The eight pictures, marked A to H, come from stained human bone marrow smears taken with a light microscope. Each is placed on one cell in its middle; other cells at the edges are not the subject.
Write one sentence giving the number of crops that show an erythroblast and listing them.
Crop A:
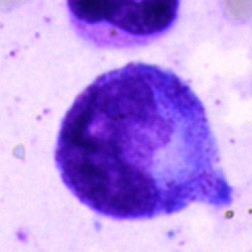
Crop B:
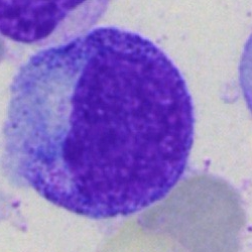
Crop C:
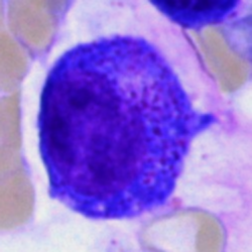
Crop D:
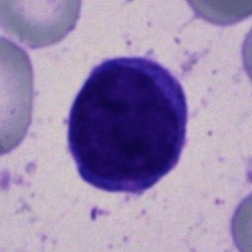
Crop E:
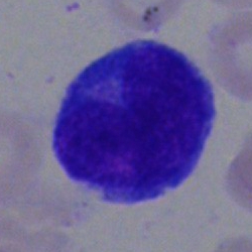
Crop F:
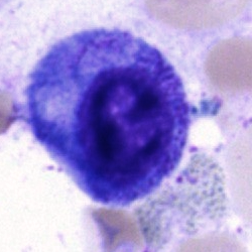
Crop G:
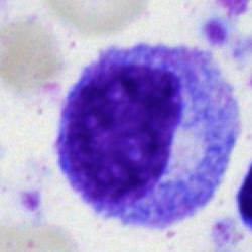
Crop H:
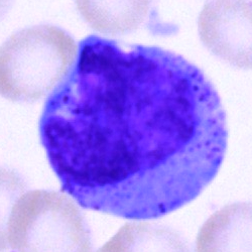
The crops show no erythroblasts at all, and the count is accordingly zero.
